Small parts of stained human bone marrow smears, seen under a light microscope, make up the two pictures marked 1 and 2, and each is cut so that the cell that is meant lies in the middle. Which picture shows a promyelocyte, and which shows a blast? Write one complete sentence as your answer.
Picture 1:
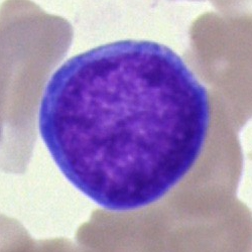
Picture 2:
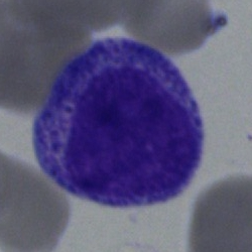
It is picture 1 that shows a blast, and picture 2 that shows a promyelocyte.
